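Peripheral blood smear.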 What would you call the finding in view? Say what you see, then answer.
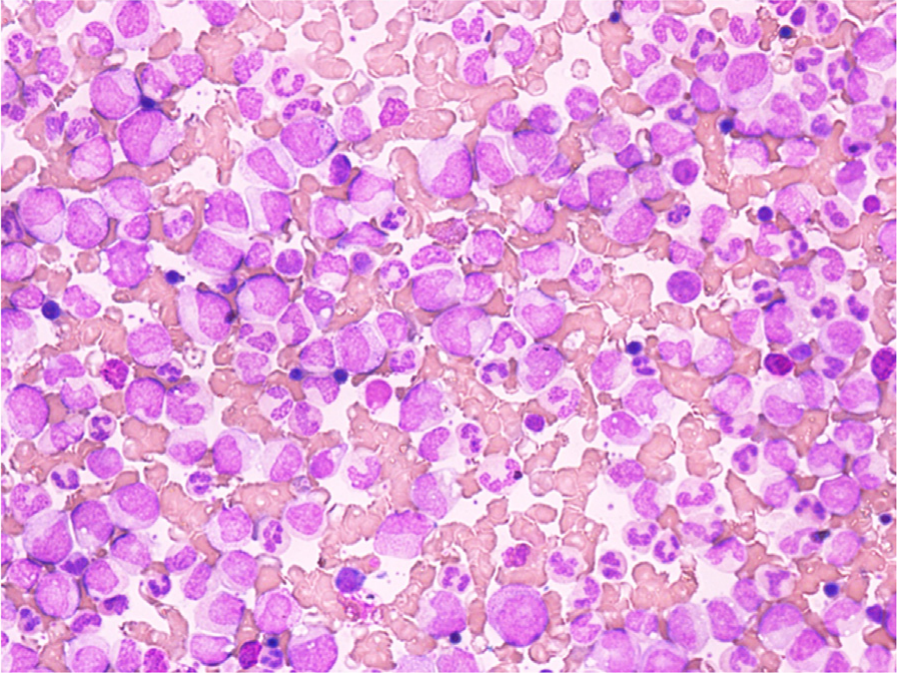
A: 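Nucleated cells lie packed side by side across the whole smear. So: leukocytosis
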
